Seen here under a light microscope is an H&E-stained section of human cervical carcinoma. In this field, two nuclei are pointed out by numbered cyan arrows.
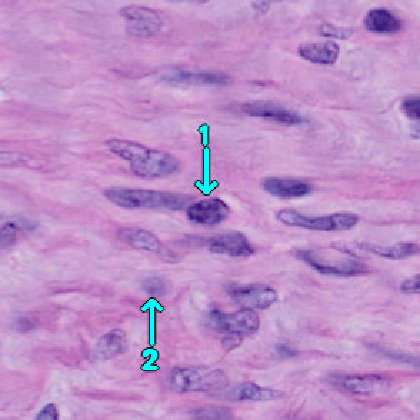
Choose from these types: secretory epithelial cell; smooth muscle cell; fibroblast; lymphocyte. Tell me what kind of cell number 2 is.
smooth muscle cell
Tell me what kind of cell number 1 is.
lymphocyte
